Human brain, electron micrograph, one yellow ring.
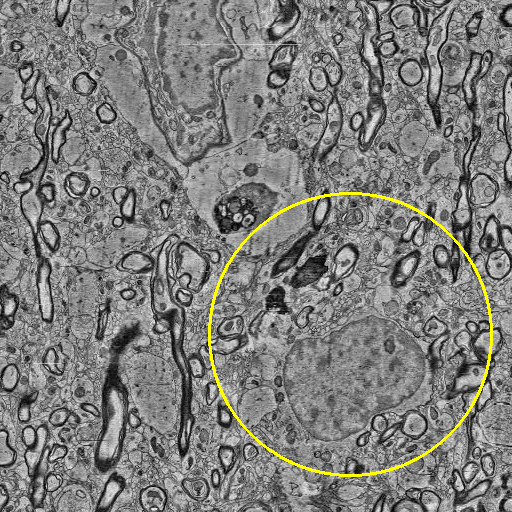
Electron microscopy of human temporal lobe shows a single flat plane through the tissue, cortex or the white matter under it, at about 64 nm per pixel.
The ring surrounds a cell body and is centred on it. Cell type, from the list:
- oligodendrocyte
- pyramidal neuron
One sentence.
The yellow ring circles an oligodendrocyte.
